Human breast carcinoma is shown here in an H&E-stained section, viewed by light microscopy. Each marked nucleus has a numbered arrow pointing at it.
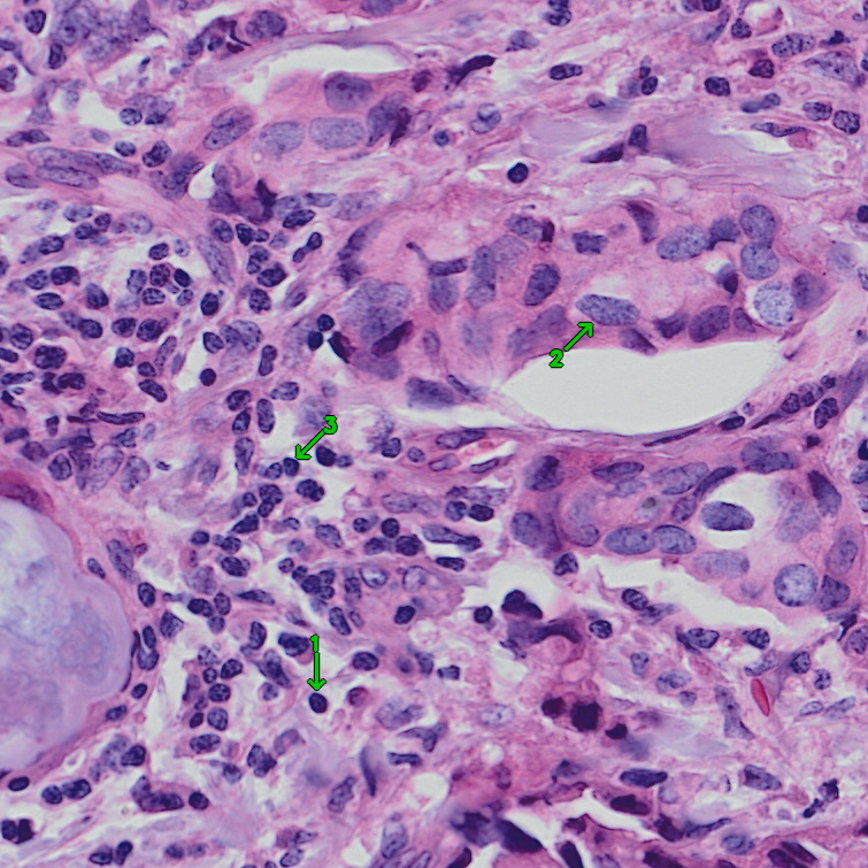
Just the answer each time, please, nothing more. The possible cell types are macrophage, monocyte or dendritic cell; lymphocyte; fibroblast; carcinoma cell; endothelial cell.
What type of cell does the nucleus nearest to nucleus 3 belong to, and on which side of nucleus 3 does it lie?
a lymphocyte; to the left of nucleus 3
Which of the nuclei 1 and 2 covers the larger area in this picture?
2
